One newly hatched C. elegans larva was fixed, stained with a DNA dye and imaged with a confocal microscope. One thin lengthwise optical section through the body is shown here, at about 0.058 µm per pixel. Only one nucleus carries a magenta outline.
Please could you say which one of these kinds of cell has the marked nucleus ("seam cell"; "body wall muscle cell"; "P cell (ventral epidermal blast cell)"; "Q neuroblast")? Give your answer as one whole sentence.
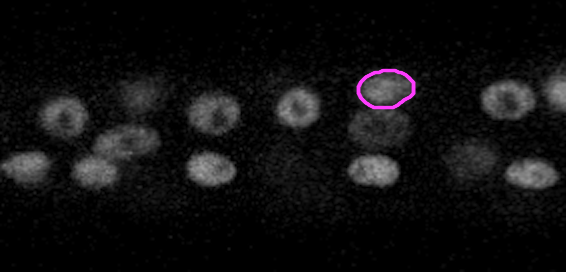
It belongs to a P cell (ventral epidermal blast cell).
